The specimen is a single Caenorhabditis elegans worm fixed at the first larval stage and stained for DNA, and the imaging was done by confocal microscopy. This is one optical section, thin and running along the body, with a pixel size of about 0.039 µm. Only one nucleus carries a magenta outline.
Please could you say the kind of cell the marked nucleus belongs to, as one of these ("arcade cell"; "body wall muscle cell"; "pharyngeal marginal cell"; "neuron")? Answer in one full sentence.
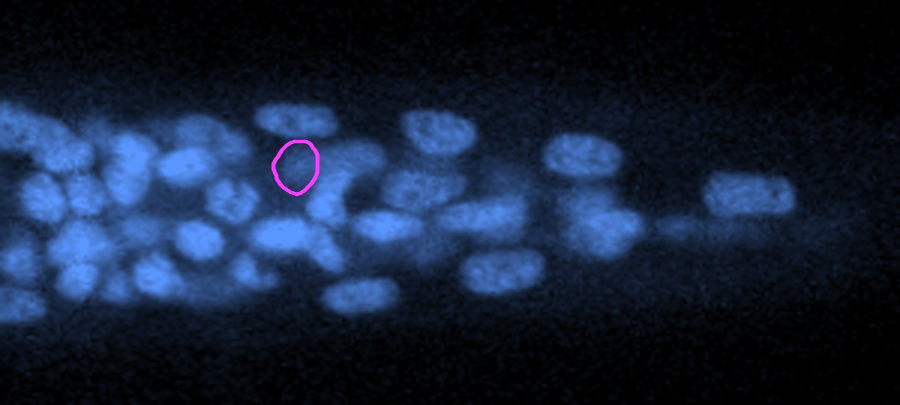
The marked nucleus is that of a pharyngeal marginal cell.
